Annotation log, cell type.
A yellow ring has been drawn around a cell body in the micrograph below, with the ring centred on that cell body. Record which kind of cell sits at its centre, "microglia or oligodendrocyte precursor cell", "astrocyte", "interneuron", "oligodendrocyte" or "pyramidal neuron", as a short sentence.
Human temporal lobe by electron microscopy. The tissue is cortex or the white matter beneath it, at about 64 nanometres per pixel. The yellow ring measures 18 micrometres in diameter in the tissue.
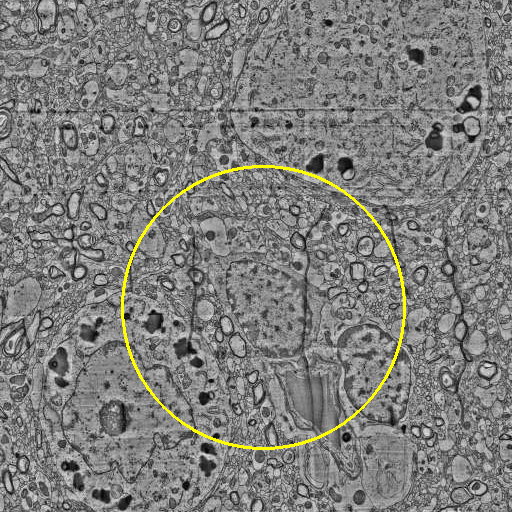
The cell at the centre of this ring is an oligodendrocyte.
